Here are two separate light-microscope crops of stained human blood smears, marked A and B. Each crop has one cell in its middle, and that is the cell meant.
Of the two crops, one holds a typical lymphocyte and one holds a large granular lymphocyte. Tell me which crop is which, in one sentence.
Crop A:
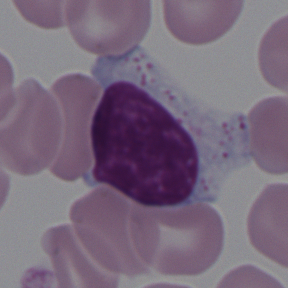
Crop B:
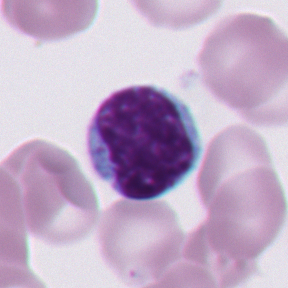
Crop A is identified as a large granular lymphocyte, and crop B is identified as a typical lymphocyte.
